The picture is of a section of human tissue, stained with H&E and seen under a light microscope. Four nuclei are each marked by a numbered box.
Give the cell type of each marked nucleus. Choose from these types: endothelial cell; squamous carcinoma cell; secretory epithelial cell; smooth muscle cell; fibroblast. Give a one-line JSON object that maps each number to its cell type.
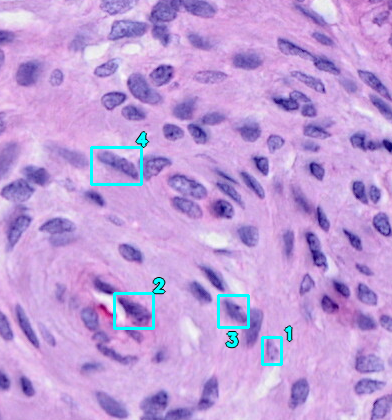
{"1": "fibroblast", "2": "endothelial cell", "3": "fibroblast", "4": "fibroblast"}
